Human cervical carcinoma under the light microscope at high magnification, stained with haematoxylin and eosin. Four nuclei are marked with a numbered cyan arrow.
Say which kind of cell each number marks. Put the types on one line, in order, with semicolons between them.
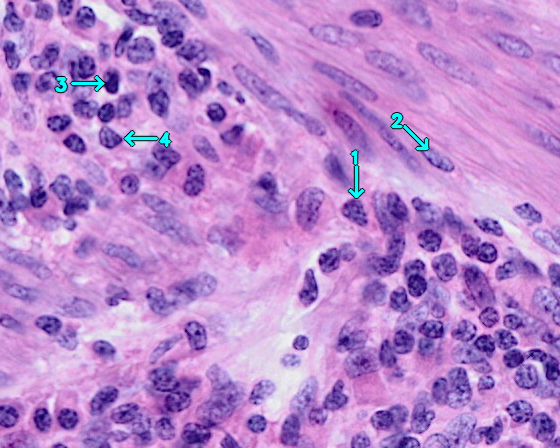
lymphocyte; smooth muscle cell; lymphocyte; lymphocyte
